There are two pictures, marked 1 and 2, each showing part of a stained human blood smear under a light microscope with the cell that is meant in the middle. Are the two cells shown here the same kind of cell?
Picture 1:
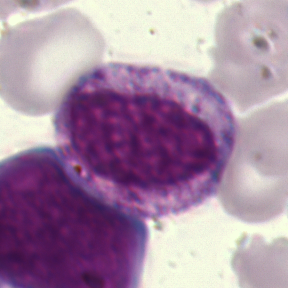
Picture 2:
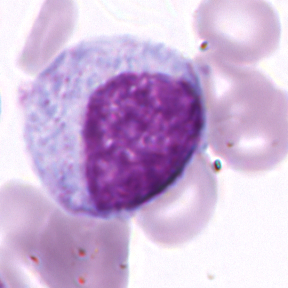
yes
